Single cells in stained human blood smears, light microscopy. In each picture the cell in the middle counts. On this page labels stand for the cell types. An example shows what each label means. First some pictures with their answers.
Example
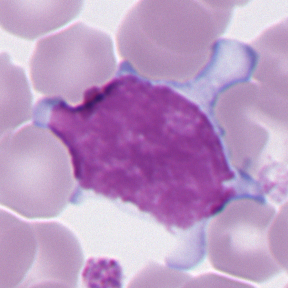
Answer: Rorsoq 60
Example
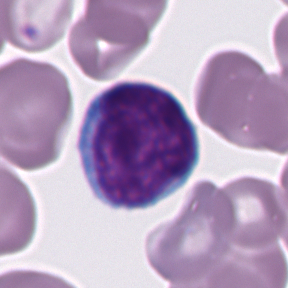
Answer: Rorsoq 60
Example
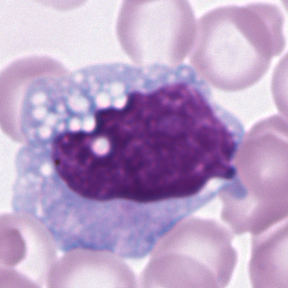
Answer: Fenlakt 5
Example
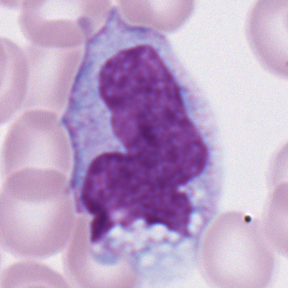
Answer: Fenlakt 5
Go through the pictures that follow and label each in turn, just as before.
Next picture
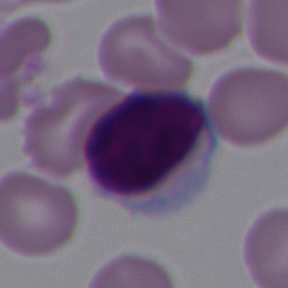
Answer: Rorsoq 60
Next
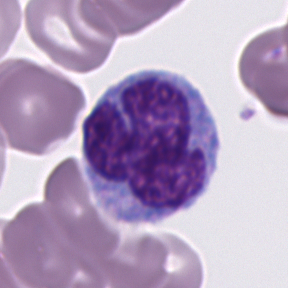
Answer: Fenlakt 5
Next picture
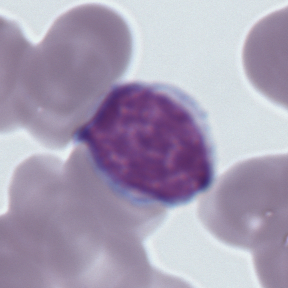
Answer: Rorsoq 60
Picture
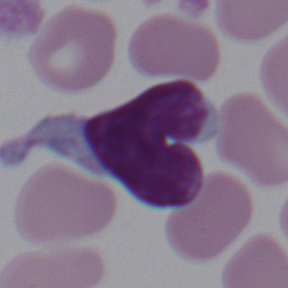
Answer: Rorsoq 60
